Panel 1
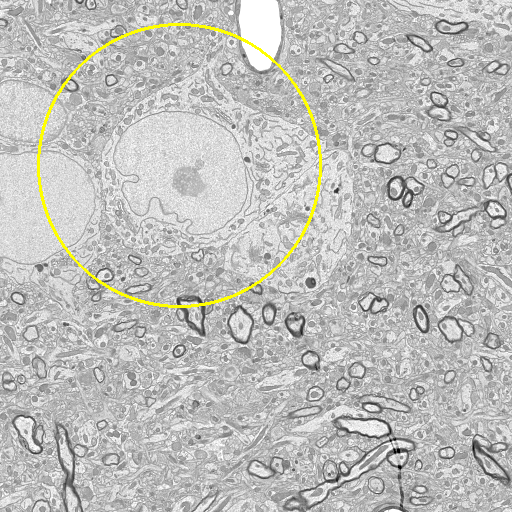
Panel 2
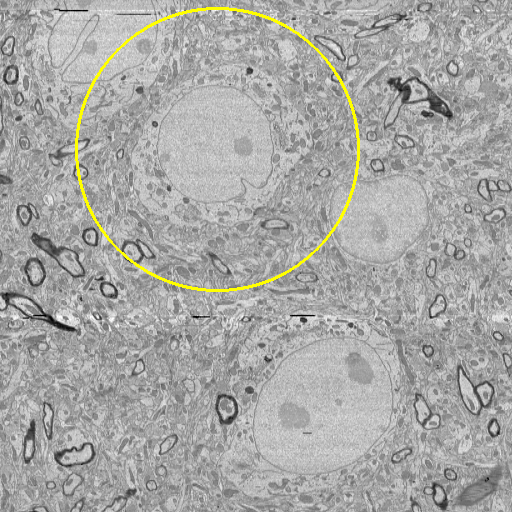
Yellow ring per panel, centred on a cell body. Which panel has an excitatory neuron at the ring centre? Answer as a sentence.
Panel 2 shows it at the ring centre.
